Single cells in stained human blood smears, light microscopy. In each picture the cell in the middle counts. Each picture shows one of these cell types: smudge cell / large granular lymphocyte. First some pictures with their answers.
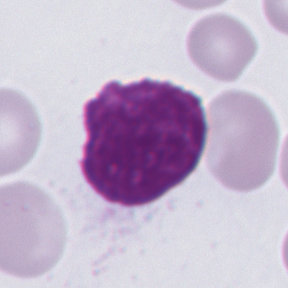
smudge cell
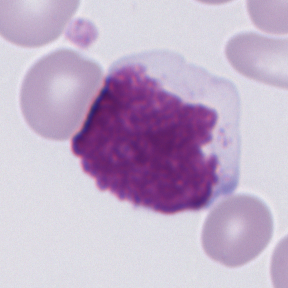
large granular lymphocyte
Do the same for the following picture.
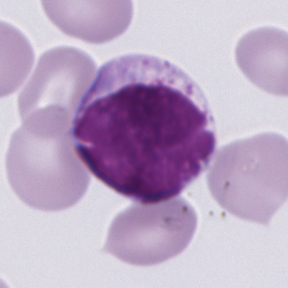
large granular lymphocyte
